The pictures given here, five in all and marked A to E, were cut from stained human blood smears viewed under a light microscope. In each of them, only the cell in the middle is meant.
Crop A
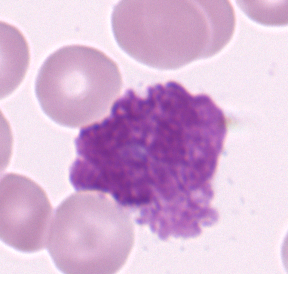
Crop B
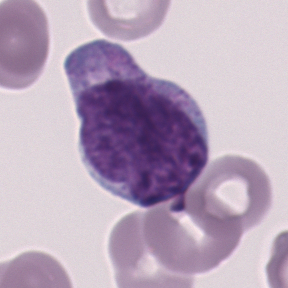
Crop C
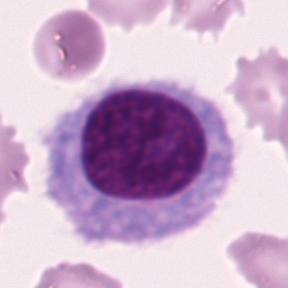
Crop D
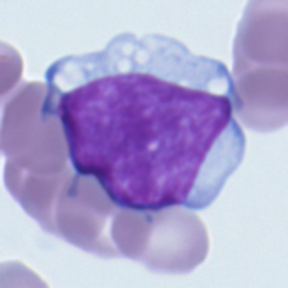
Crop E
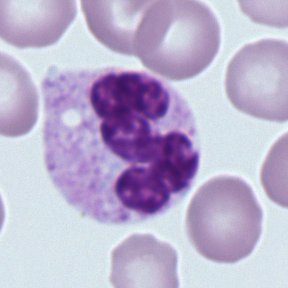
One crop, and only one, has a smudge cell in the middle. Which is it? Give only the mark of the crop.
A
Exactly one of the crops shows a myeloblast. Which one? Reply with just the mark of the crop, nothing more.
D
